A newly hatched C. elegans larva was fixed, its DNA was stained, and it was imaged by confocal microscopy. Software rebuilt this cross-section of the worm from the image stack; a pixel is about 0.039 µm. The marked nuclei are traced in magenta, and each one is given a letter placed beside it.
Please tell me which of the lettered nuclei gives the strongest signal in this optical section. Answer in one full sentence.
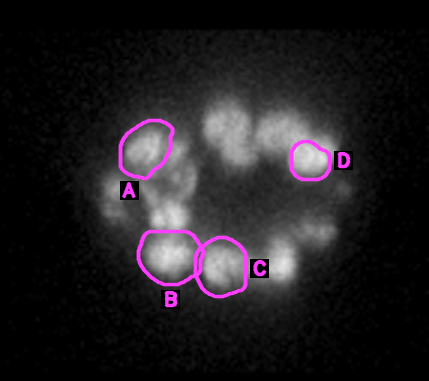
D is stained most strongly in this section.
